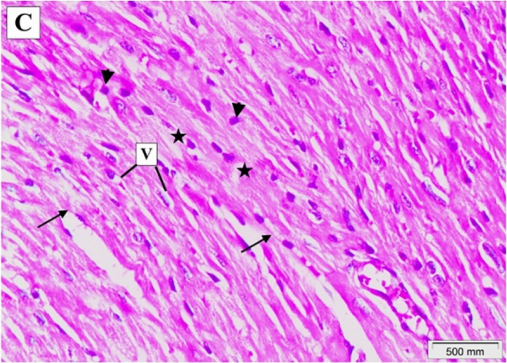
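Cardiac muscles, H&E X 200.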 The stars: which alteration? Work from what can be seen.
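Areas of focal lysis. Pale, washed-out patches of sarcoplasm lie where the stars are. The fibres there lose their solid pink staining.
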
